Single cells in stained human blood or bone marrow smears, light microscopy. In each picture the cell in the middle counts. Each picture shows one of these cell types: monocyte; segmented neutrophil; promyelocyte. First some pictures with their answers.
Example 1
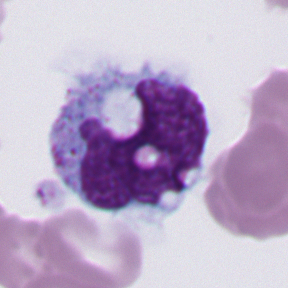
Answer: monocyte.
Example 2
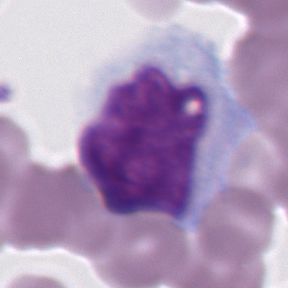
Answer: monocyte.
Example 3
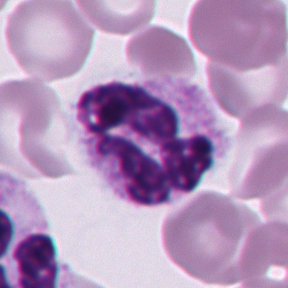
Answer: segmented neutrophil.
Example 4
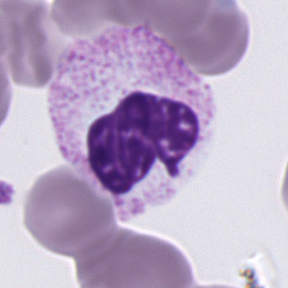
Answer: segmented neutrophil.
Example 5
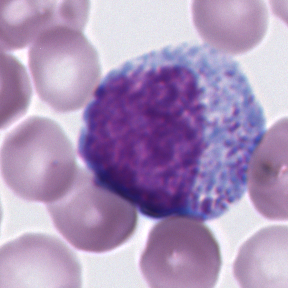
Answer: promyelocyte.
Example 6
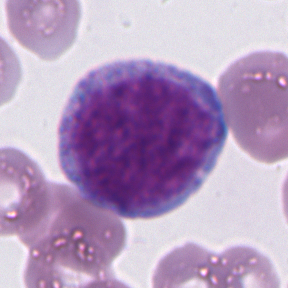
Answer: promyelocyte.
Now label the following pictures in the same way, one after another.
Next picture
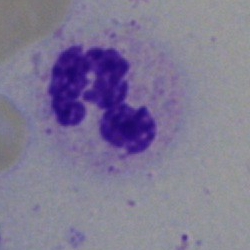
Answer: segmented neutrophil.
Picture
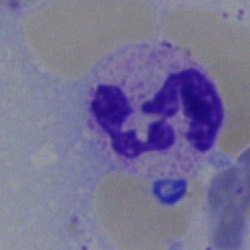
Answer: segmented neutrophil.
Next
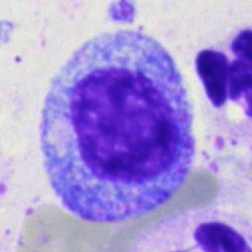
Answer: promyelocyte.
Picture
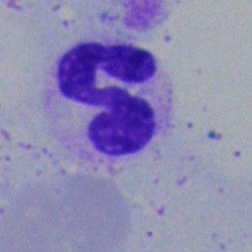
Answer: segmented neutrophil.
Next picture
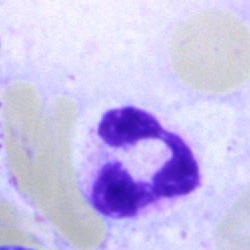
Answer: segmented neutrophil.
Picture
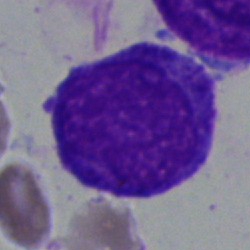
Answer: promyelocyte.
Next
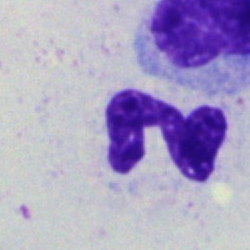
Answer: segmented neutrophil.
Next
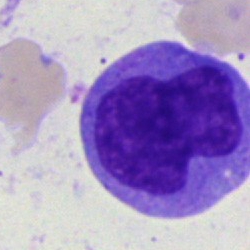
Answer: monocyte.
